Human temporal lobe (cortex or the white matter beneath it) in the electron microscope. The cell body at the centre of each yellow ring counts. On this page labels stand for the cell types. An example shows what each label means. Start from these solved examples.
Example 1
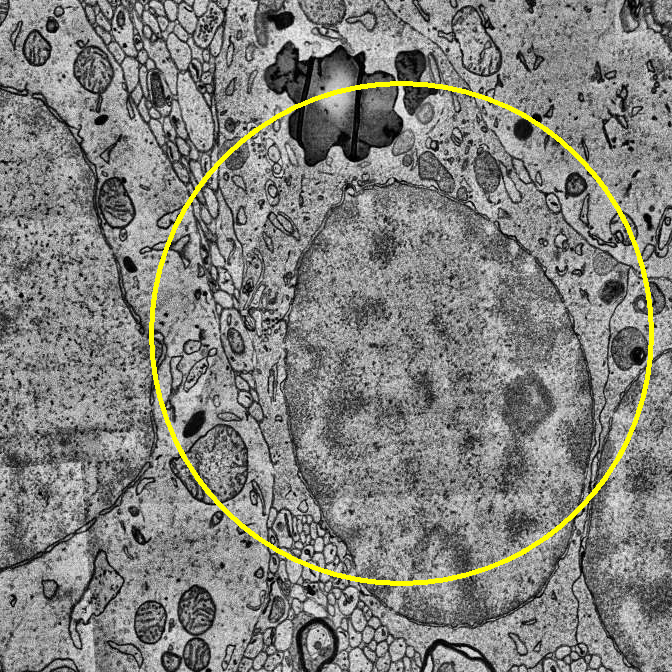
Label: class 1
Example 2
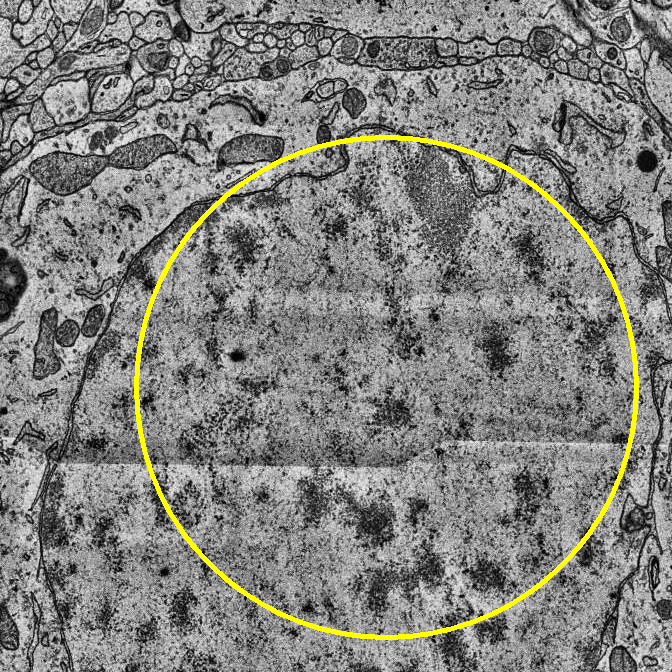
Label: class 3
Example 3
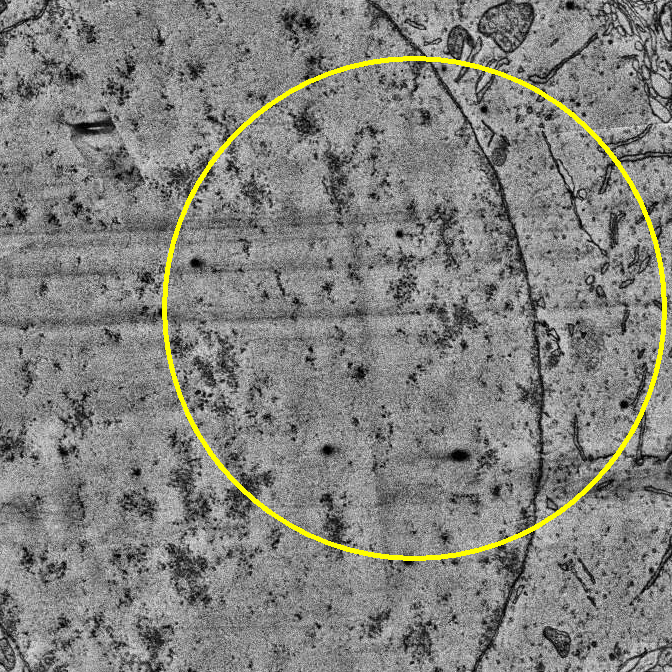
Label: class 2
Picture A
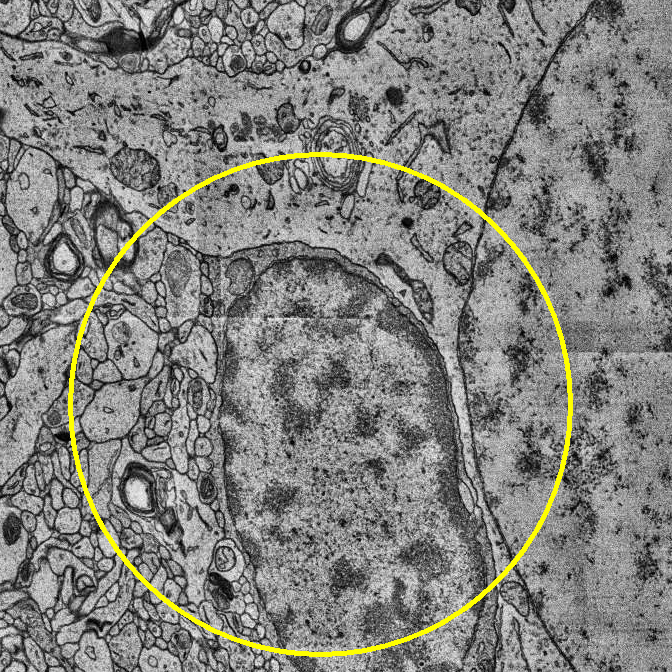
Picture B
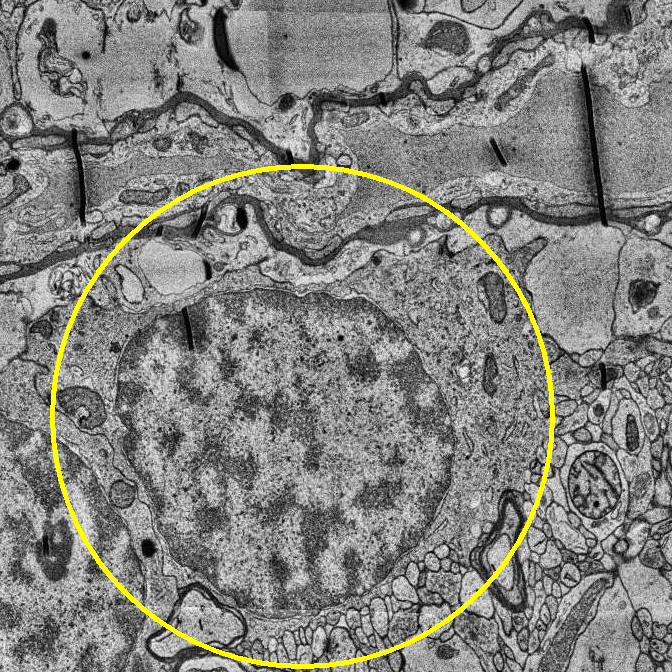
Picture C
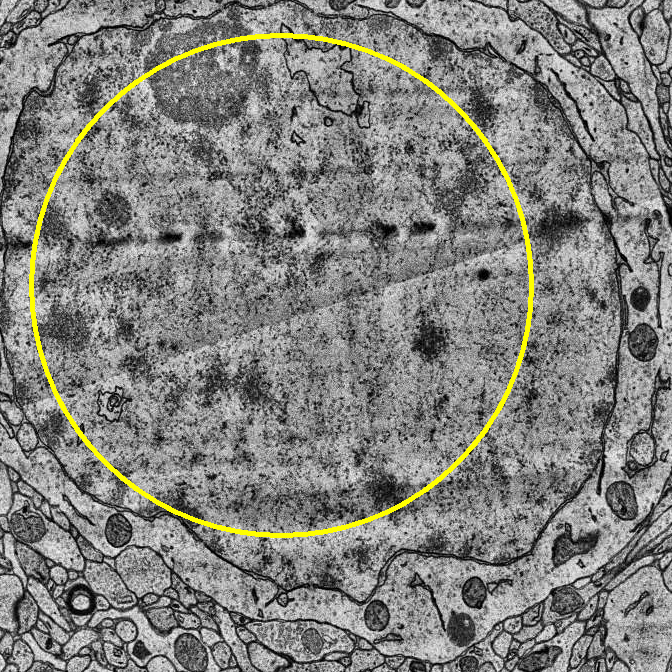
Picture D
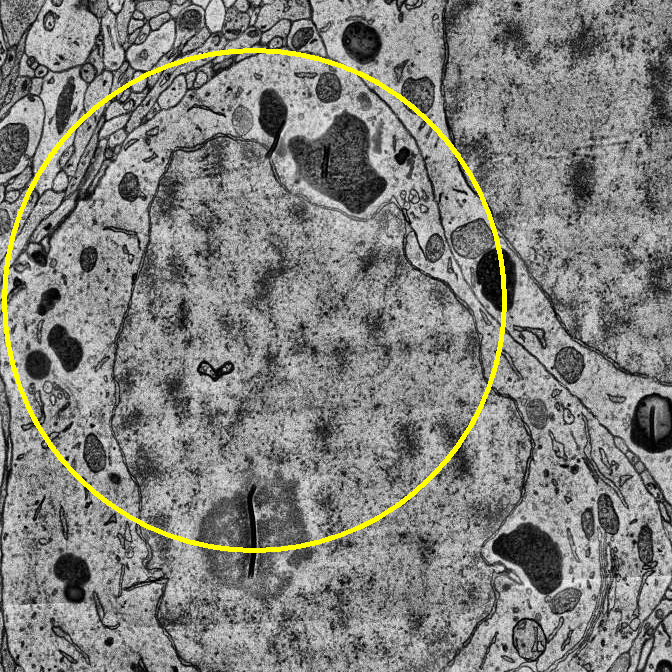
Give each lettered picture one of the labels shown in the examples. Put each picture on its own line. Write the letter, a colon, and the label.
A: class 1
B: class 1
C: class 3
D: class 3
